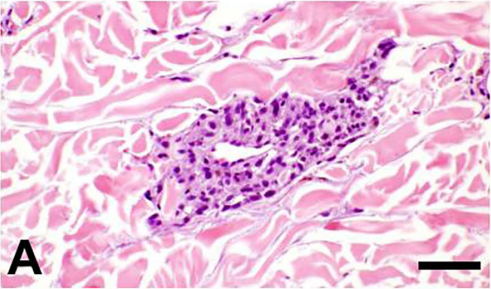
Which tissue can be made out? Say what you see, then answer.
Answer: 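Dermis. Wavy pink bundles of collagen fill most of the field. A small vessel with a lumen runs through the collagen.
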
